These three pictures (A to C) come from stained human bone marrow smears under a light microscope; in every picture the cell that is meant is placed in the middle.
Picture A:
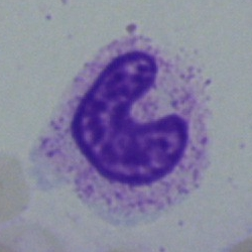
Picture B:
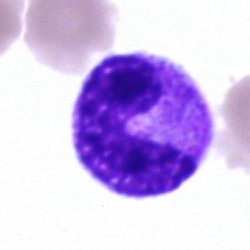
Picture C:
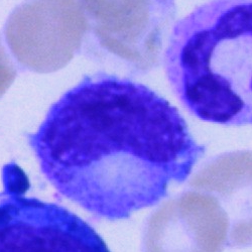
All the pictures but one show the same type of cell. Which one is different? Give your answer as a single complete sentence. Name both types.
Picture C is the odd one out: it shows a metamyelocyte, while the others show band neutrophils.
